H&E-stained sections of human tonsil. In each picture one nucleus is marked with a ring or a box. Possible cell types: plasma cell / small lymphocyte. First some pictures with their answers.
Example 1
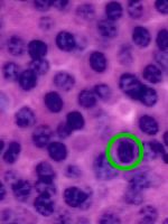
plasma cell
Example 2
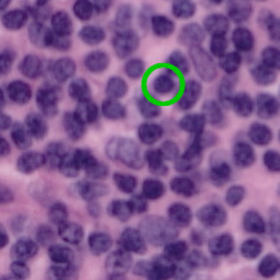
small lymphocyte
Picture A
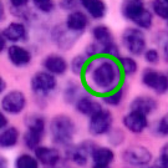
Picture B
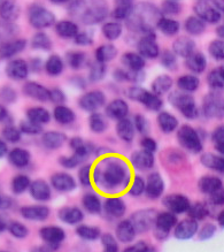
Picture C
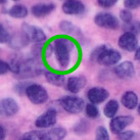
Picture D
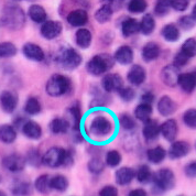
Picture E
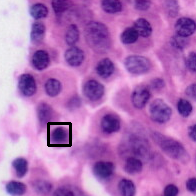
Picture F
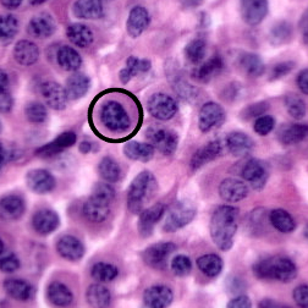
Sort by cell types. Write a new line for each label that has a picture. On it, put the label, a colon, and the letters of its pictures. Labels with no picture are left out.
plasma cell: E, F
small lymphocyte: A, B, C, D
